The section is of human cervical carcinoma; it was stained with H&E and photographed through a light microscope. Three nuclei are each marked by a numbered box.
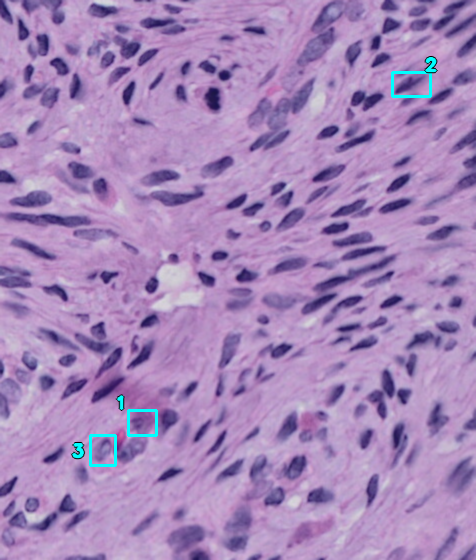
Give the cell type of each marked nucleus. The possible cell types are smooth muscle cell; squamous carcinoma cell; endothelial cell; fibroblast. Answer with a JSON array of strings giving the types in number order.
["endothelial cell", "fibroblast", "endothelial cell"]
